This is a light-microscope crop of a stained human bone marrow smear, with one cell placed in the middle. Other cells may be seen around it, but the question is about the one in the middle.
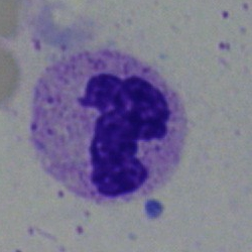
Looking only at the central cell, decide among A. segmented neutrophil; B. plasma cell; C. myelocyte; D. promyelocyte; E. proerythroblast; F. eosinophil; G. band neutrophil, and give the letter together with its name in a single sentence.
The best answer is option A, since the cell in the middle is a segmented neutrophil.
